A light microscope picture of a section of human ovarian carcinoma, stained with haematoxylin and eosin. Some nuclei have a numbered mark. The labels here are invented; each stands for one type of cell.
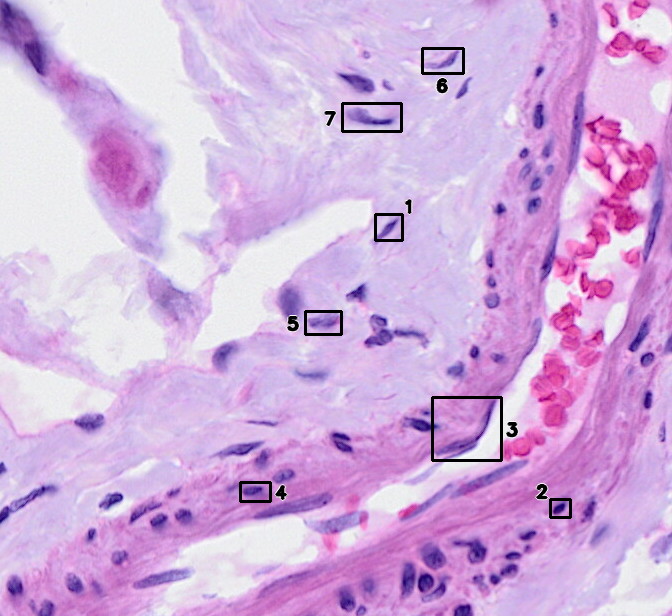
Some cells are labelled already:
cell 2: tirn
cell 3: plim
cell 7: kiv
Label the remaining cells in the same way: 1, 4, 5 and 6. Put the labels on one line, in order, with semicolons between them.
kiv; tirn; kiv; kiv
